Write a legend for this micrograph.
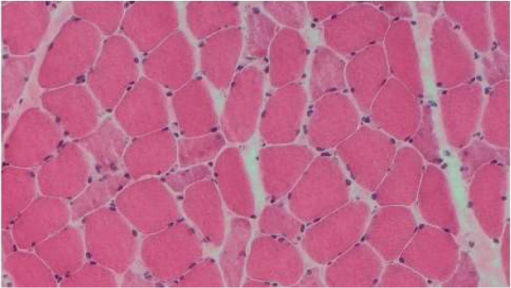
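Skeletal muscle in cross-section, with polygonal pink-red muscle fibers packed closely and separated by thin pale lines of endomysium and a few wider pale bands of connective tissue. The fibers vary noticeably in size, with small fibers lying between larger ones. Dark purple nuclei sit at the edges of the fibers, beneath their surfaces. Several fibers stain paler and look mottled, holding amorphous pale material instead of even red cytoplasm.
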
